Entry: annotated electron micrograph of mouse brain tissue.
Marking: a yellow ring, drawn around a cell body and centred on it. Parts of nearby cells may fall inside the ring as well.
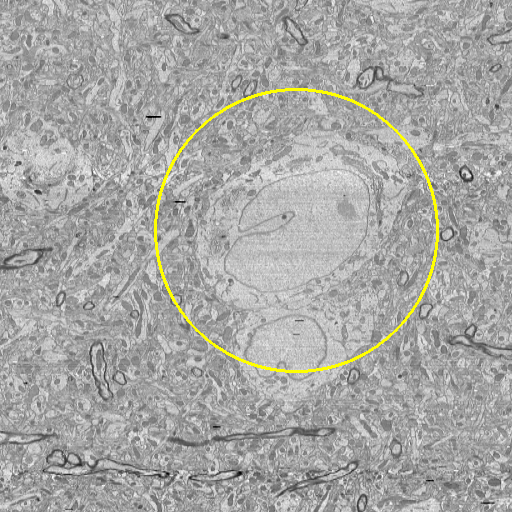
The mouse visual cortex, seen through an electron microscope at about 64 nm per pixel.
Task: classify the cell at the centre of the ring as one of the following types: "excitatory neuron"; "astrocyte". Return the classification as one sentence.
The marked cell is classified as an excitatory neuron.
